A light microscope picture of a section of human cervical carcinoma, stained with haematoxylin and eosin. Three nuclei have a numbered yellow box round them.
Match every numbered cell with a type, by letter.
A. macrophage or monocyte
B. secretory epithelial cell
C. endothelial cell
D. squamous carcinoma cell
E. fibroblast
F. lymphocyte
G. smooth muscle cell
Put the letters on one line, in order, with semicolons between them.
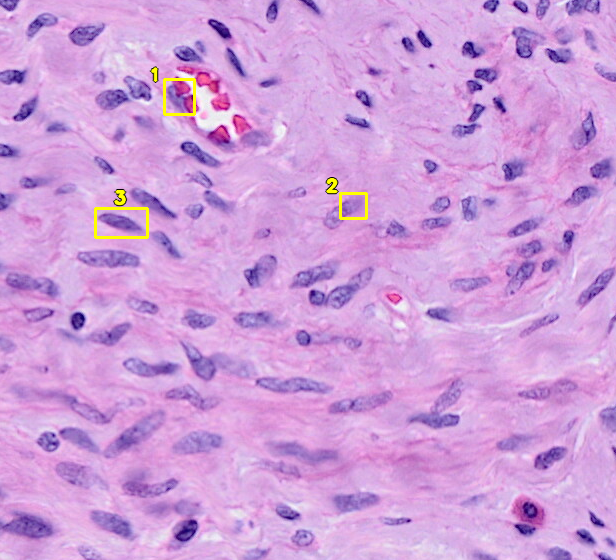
C; G; E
